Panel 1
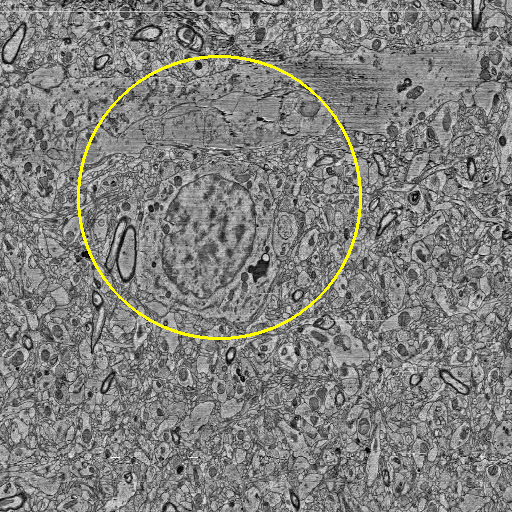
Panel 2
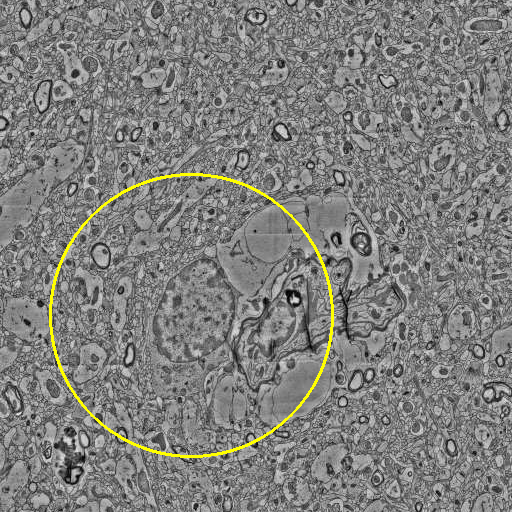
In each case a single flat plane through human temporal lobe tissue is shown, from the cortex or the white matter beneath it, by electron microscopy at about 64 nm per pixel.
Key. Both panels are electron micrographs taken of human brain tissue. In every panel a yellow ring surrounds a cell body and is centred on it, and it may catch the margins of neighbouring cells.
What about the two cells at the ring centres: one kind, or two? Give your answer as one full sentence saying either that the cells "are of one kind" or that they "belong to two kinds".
Across Panels 1 and 2, the two cells at the ring centres belong to two kinds.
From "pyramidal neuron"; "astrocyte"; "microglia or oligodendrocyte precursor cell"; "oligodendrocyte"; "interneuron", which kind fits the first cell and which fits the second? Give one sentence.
The cell marked in the first picture is an interneuron, and the one marked in the second is an oligodendrocyte.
